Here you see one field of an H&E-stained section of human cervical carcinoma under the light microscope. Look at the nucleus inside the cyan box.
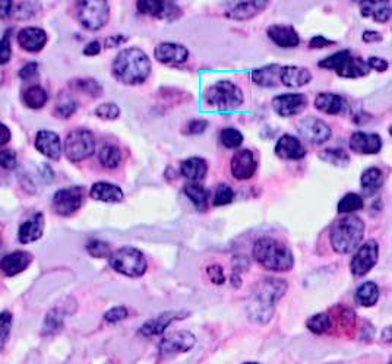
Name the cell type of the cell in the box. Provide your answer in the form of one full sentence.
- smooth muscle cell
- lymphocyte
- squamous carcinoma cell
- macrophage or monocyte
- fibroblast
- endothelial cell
As for its identity, the cell in the box is a lymphocyte.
